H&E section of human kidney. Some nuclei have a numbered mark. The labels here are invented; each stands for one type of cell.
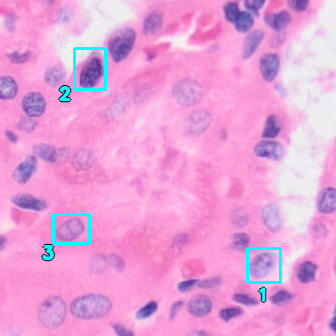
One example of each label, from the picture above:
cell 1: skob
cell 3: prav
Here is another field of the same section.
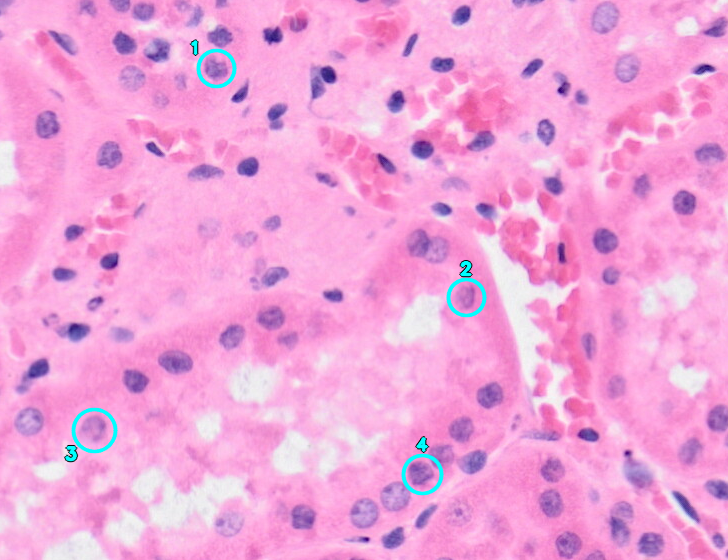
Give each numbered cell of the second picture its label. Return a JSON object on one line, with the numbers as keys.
{"1": "skob", "2": "prav", "3": "prav", "4": "prav"}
